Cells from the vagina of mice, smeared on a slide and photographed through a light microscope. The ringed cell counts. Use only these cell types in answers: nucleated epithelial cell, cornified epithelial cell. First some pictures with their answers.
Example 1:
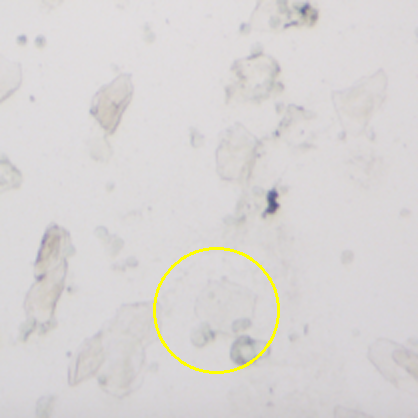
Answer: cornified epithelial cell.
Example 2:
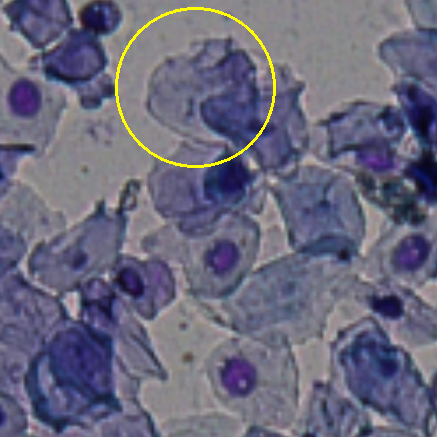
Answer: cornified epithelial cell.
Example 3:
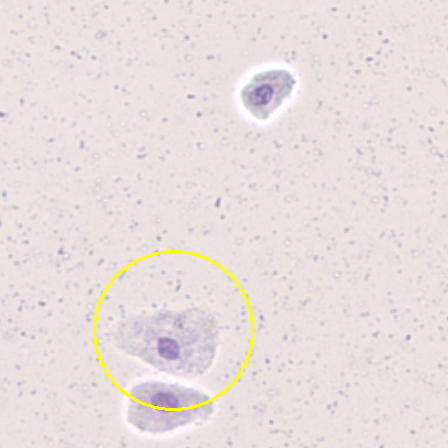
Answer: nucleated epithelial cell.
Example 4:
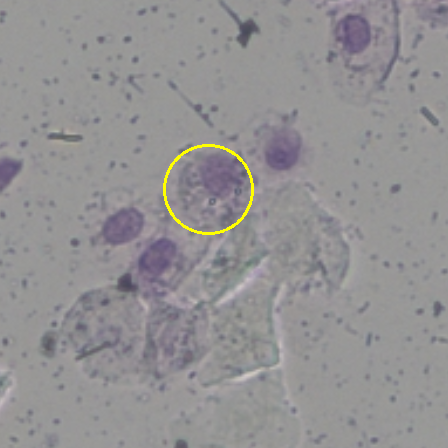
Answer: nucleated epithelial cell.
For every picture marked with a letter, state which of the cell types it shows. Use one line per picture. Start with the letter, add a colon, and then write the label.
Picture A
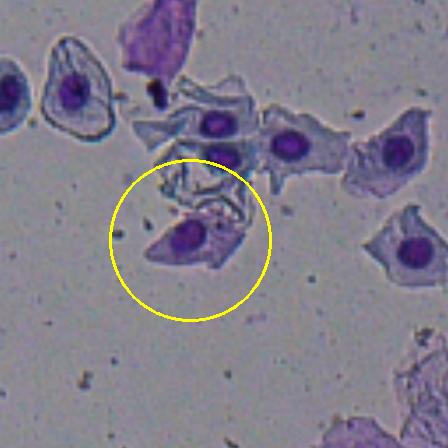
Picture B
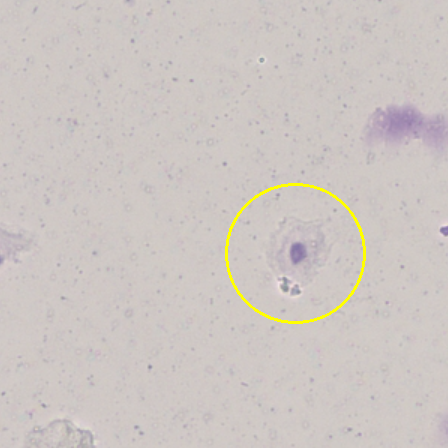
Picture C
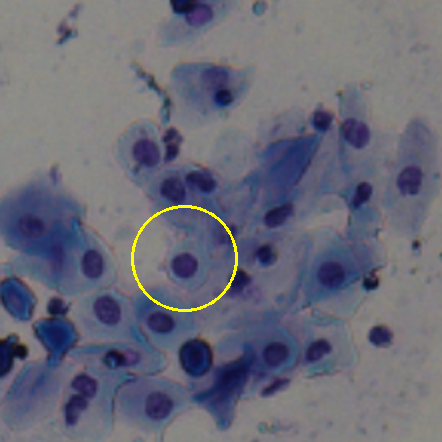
A: nucleated epithelial cell.
B: nucleated epithelial cell.
C: nucleated epithelial cell.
